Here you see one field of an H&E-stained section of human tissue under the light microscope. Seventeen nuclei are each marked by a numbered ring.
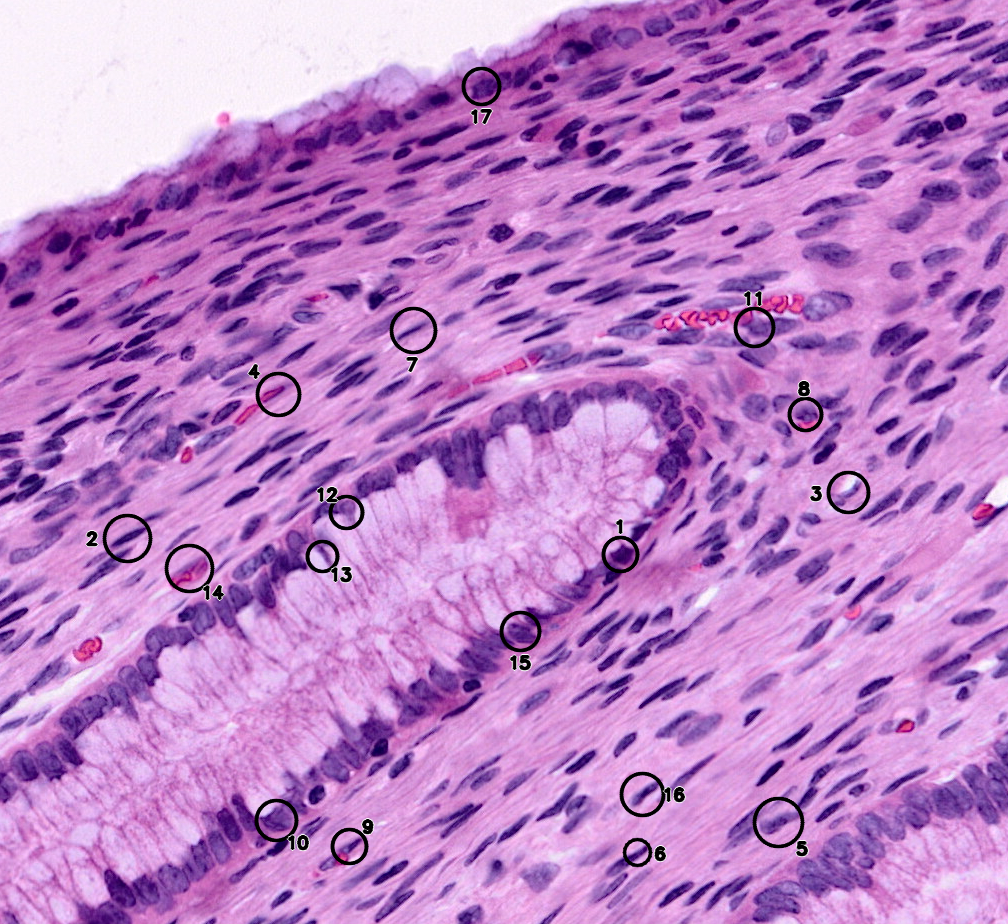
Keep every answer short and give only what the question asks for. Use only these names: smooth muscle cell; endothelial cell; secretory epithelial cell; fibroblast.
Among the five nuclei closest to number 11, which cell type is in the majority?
fibroblast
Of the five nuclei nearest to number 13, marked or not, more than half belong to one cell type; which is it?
secretory epithelial cell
